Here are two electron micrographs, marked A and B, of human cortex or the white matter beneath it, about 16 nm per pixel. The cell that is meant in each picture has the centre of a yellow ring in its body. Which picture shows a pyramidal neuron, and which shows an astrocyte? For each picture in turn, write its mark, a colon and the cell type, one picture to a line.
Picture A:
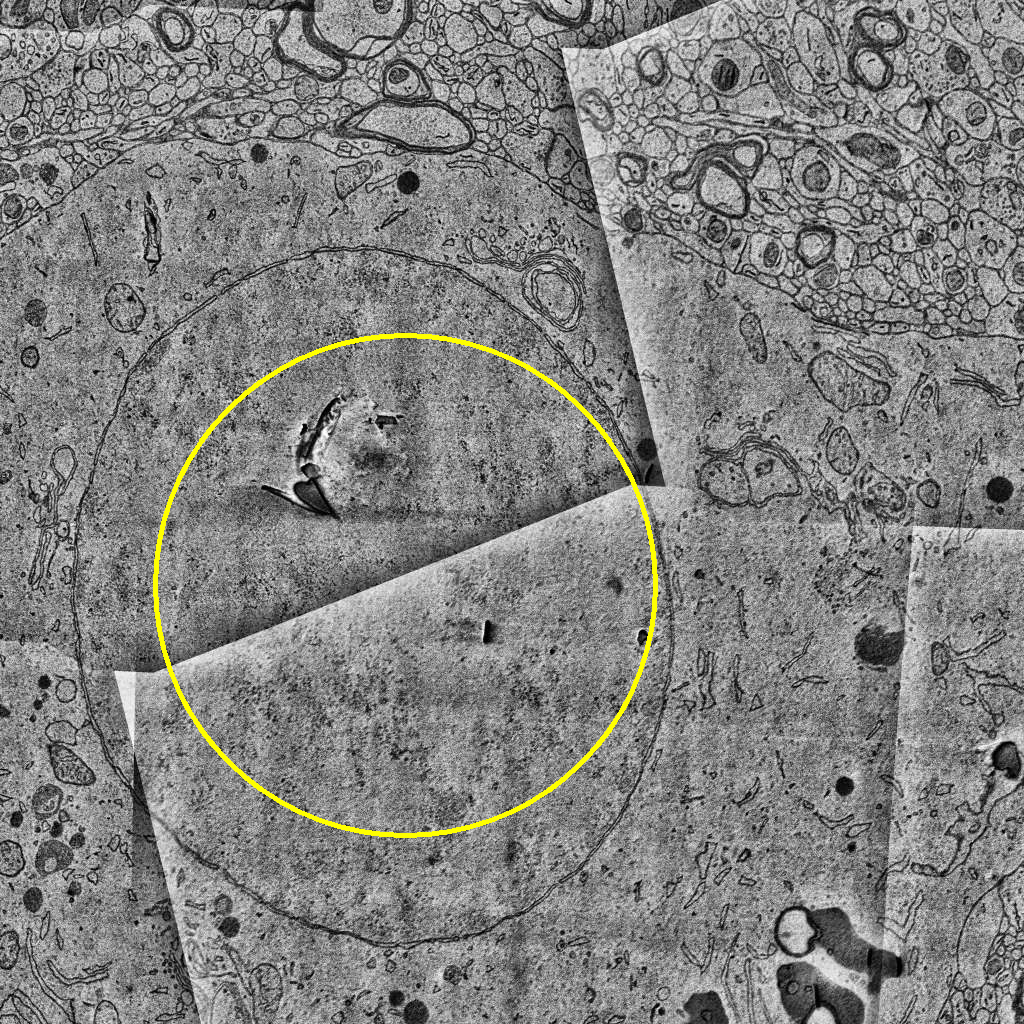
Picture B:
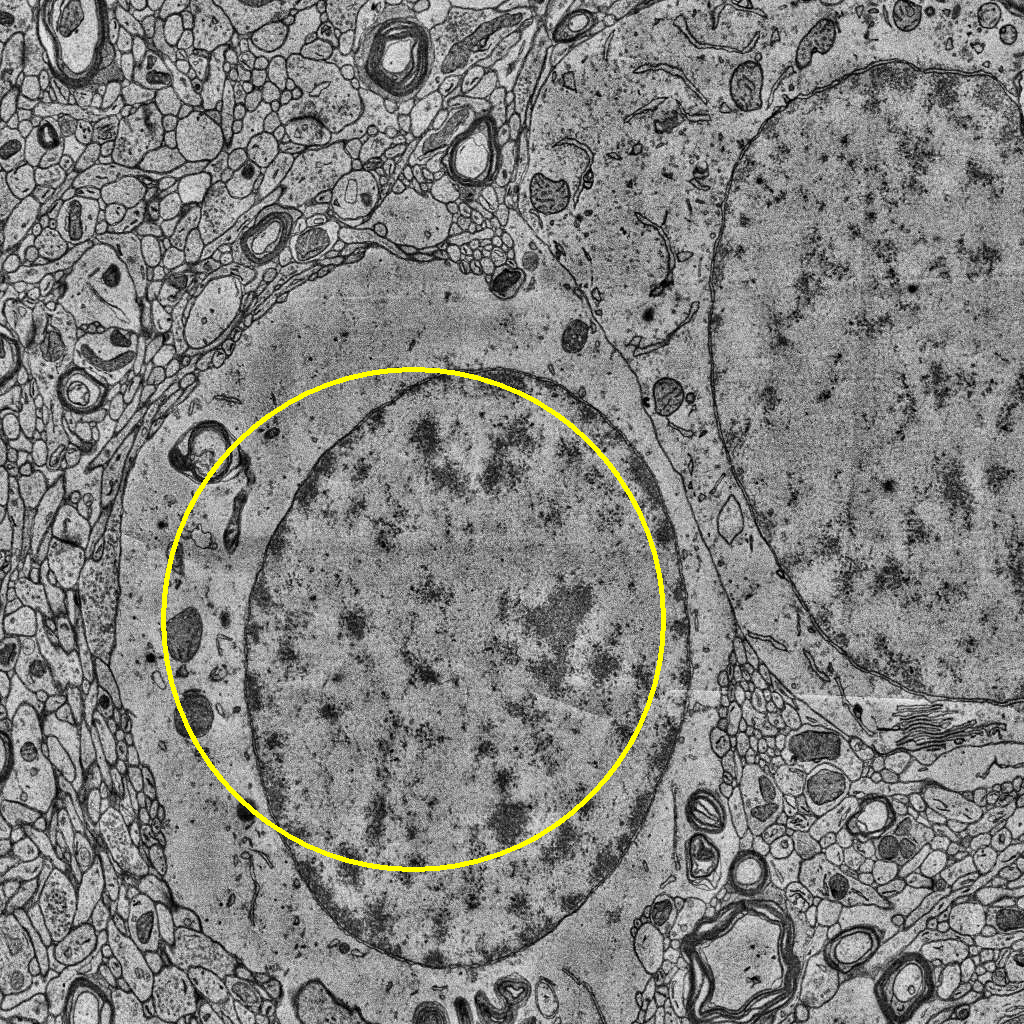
A: pyramidal neuron
B: astrocyte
